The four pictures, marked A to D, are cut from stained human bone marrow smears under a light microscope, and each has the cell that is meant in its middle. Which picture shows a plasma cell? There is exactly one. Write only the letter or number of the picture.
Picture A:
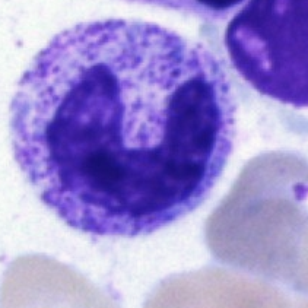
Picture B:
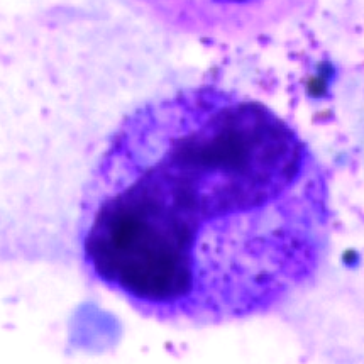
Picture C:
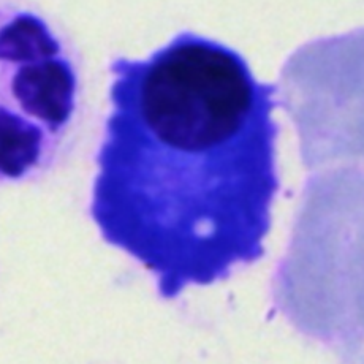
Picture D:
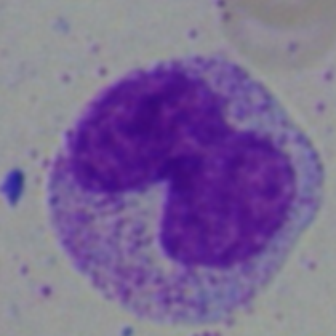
C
